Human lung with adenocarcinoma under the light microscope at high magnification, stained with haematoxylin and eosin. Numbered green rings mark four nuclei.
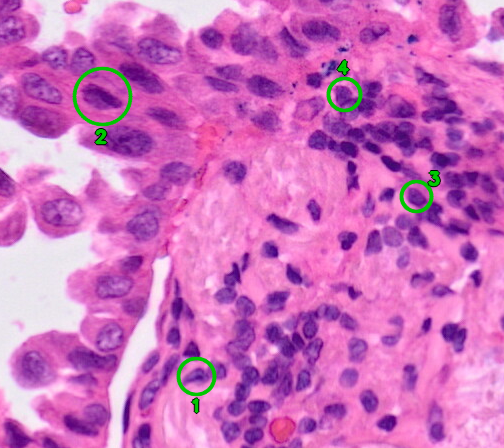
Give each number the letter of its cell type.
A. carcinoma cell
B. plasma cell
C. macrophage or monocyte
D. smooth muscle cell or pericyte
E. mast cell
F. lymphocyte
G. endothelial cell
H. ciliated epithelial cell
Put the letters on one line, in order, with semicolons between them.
F; A; F; F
